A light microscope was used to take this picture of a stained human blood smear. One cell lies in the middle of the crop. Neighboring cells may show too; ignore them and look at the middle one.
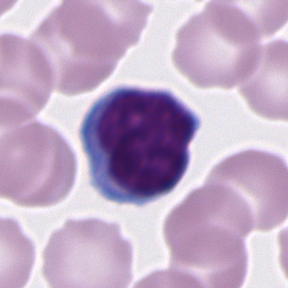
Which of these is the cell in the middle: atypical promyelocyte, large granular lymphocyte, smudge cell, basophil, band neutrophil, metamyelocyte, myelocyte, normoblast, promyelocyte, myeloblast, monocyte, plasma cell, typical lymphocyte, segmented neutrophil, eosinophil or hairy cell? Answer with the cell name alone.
typical lymphocyte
